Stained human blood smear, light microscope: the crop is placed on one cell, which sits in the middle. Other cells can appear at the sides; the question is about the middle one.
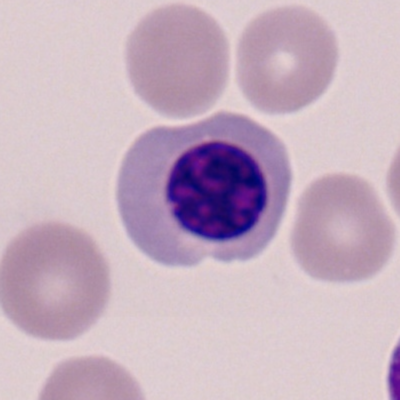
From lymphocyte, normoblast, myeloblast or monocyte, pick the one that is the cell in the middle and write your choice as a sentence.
The center cell of this crop is a normoblast.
